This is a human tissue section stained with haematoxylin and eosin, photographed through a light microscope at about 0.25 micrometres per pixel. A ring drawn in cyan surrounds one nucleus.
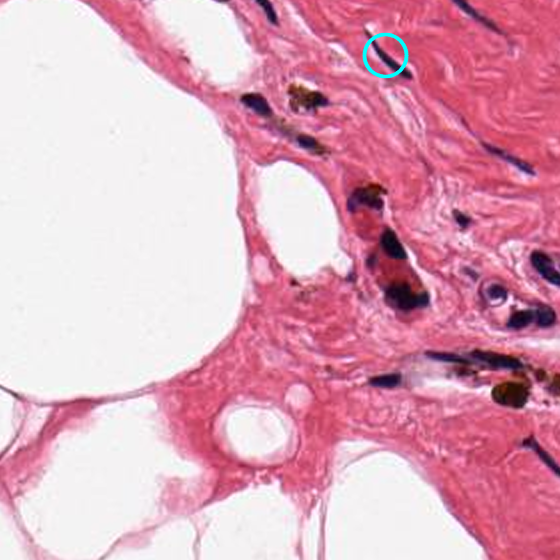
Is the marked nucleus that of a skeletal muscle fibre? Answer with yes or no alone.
no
